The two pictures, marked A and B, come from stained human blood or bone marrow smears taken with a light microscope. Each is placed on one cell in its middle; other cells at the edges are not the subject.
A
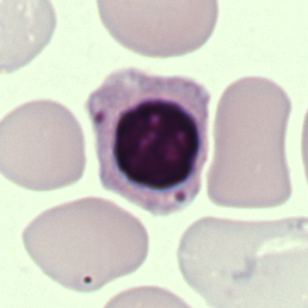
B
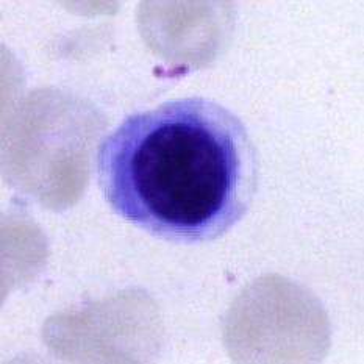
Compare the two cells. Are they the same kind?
yes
